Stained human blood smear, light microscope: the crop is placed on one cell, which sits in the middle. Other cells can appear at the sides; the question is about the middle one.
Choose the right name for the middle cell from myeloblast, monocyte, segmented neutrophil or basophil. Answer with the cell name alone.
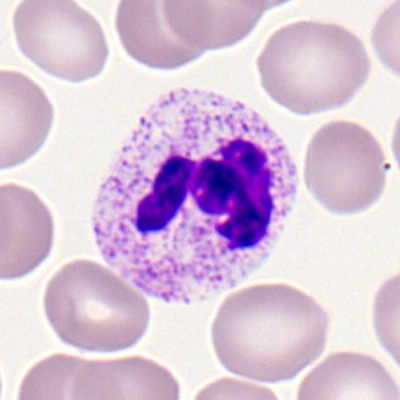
segmented neutrophil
